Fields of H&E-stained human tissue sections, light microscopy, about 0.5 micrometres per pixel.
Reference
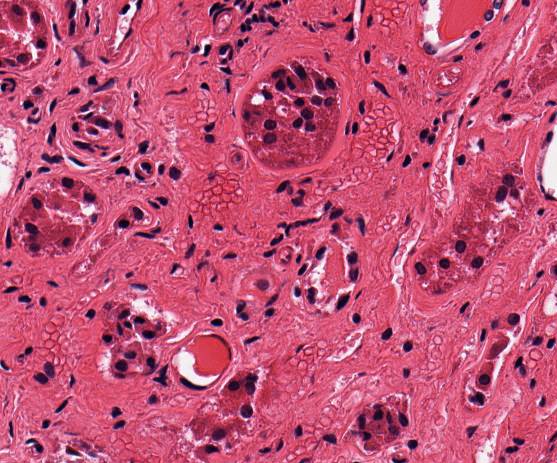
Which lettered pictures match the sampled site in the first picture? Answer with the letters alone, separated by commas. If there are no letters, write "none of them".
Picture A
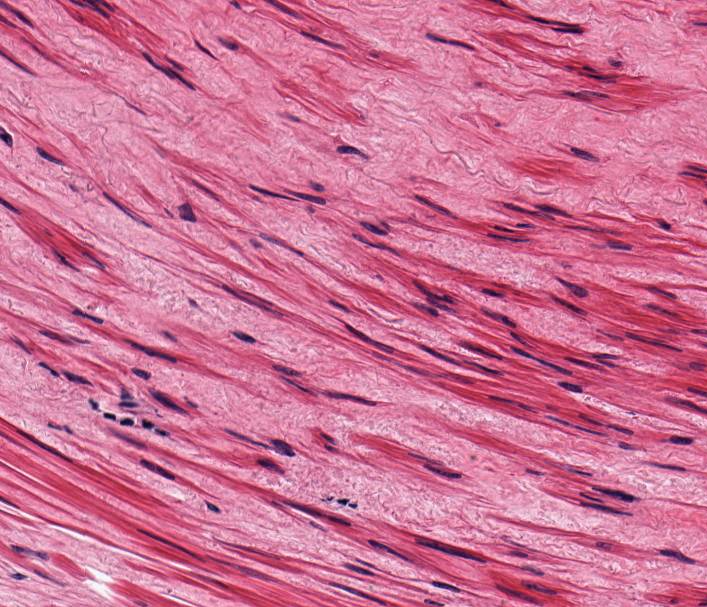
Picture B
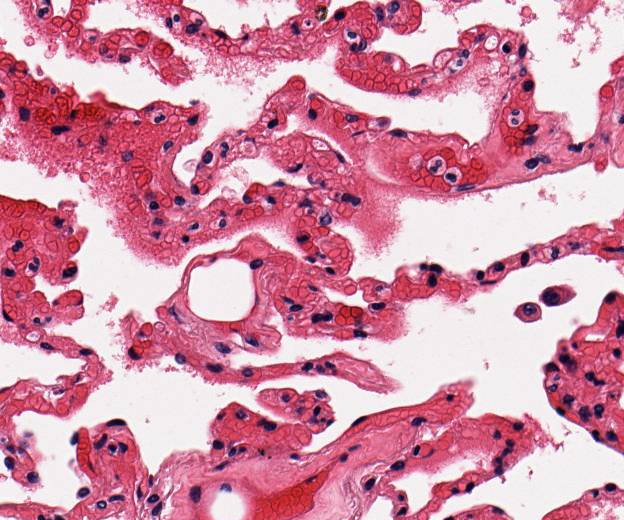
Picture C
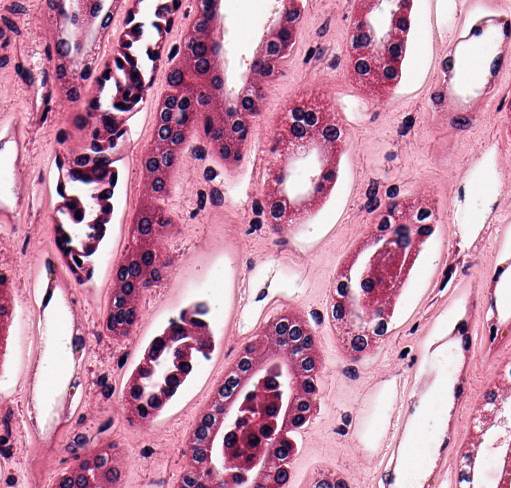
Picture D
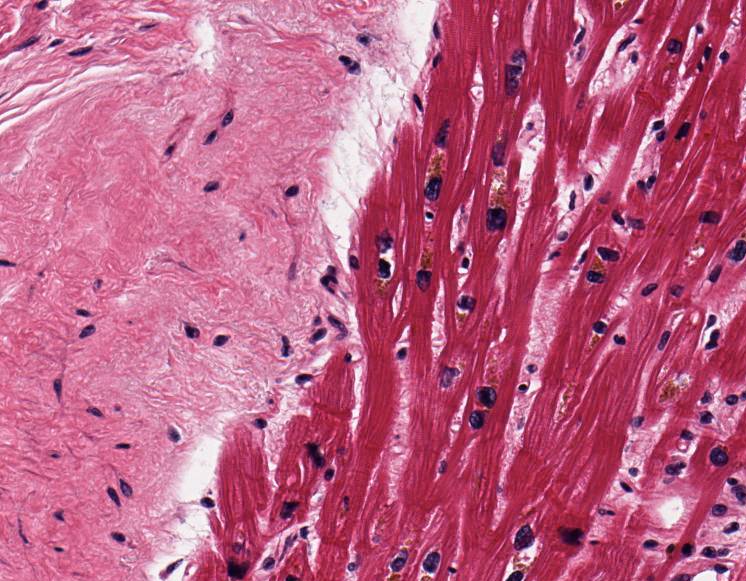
C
